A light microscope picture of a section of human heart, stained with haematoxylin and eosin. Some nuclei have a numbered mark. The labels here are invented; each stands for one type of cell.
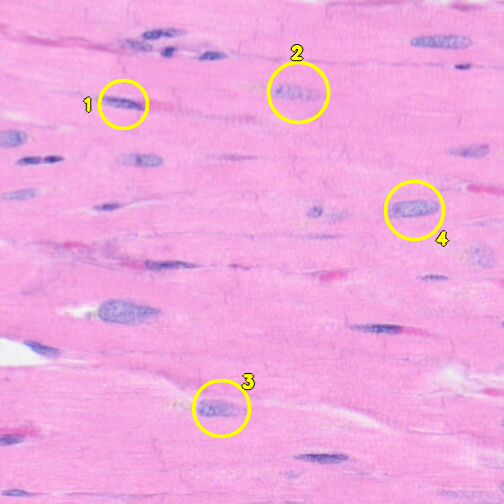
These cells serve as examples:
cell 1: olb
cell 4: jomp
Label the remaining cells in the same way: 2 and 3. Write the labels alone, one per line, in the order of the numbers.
jomp
jomp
